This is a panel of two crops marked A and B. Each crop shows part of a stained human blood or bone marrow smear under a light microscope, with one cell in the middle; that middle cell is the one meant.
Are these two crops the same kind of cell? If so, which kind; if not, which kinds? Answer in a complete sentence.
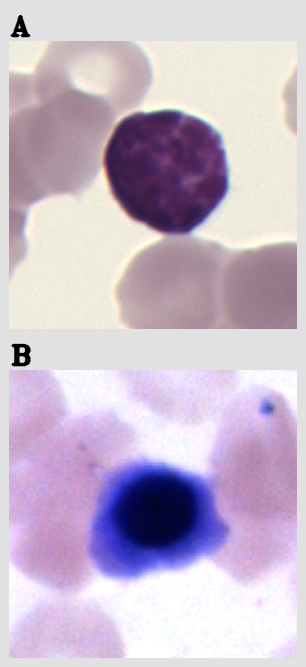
No, crop A shows a lymphocyte, and crop B, by contrast, shows an erythroblast.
